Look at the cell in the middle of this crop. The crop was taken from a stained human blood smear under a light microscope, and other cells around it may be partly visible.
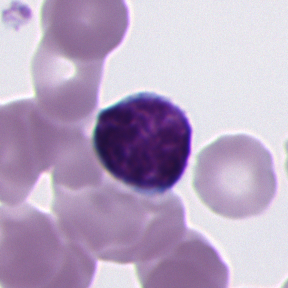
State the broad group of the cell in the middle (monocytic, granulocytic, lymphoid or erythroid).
lymphoid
